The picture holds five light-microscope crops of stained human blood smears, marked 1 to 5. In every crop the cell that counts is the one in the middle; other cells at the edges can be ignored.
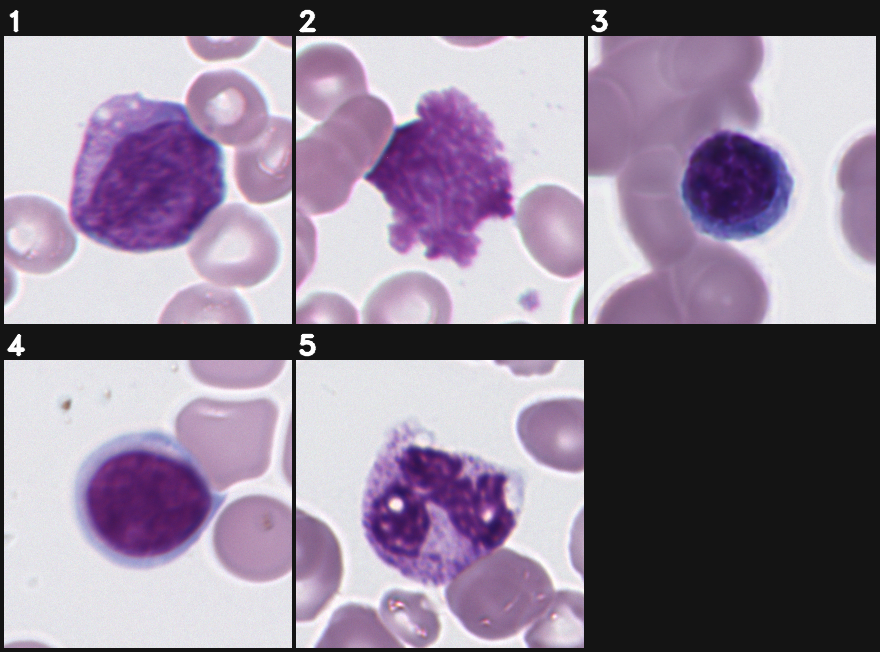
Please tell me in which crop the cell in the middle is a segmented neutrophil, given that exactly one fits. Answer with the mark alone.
5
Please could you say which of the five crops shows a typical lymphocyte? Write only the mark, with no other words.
4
